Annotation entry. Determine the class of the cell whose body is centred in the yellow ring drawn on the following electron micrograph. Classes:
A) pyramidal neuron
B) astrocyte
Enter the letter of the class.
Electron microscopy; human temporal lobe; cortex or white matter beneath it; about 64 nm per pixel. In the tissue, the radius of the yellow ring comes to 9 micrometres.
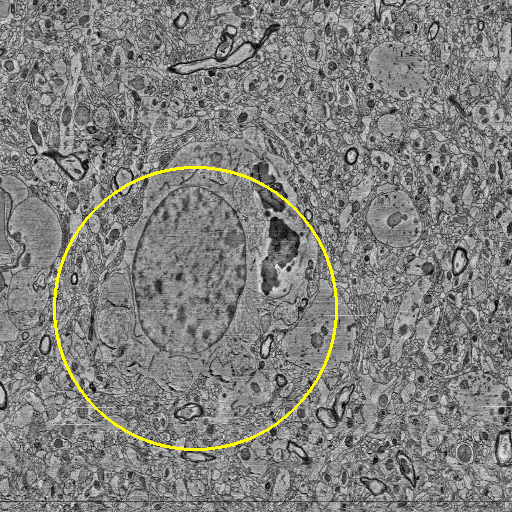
B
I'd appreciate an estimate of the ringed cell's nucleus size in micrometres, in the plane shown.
At approximately 11 by 7 micrometres, the nucleus is clearly longer than it is wide in this plane.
